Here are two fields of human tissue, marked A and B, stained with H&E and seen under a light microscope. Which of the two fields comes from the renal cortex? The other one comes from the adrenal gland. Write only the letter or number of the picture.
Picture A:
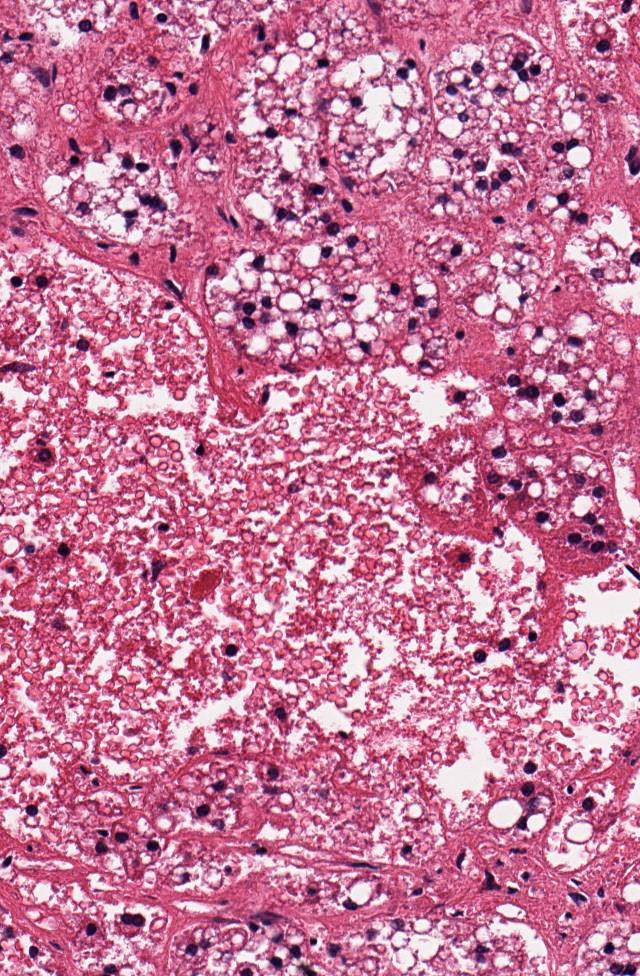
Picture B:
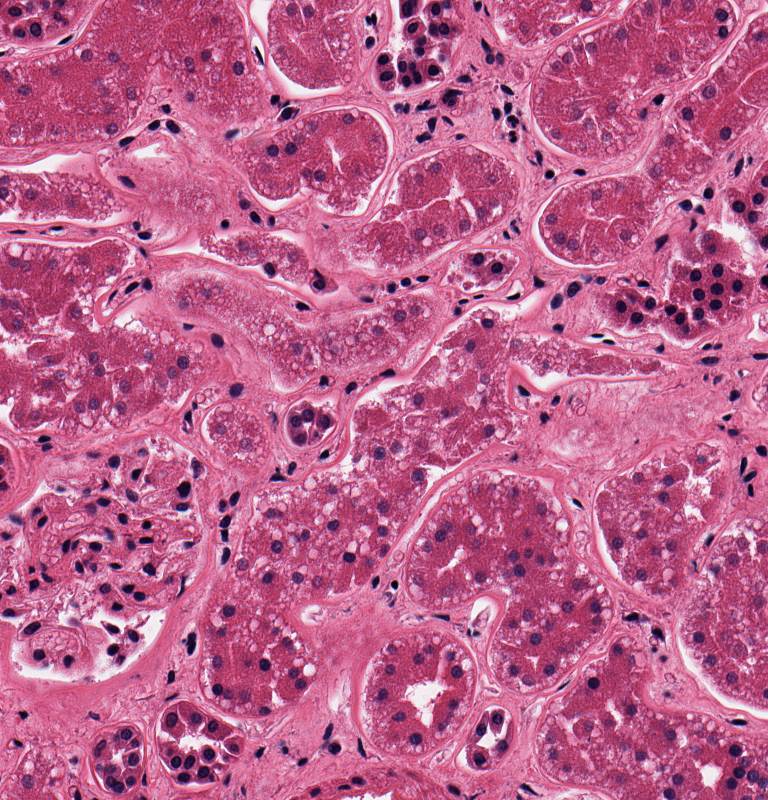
B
